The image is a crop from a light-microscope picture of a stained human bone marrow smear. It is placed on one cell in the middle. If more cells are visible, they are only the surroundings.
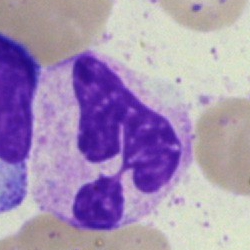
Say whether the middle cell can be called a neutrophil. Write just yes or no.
yes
